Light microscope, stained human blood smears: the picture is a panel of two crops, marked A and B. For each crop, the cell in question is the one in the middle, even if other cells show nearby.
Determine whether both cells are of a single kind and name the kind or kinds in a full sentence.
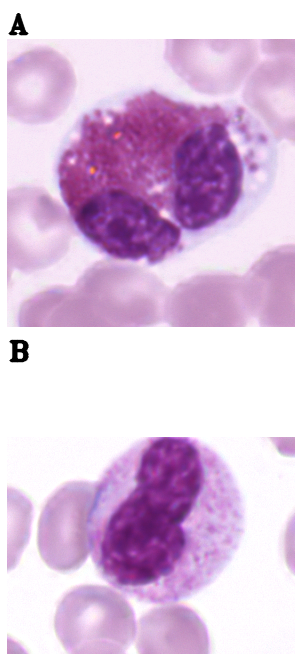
No, the central cell of crop A is an eosinophil; that of crop B is a band neutrophil.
